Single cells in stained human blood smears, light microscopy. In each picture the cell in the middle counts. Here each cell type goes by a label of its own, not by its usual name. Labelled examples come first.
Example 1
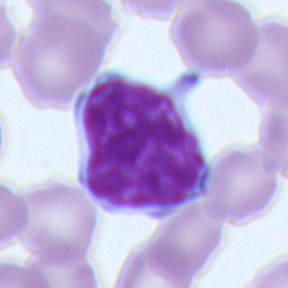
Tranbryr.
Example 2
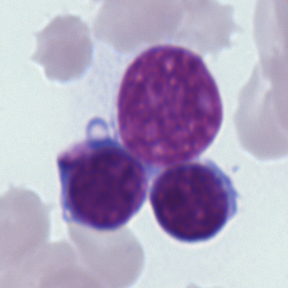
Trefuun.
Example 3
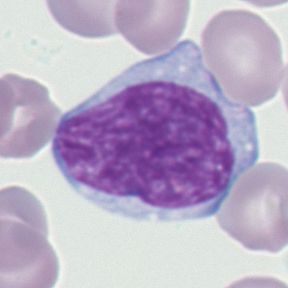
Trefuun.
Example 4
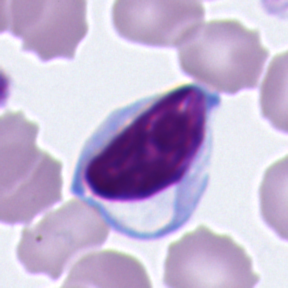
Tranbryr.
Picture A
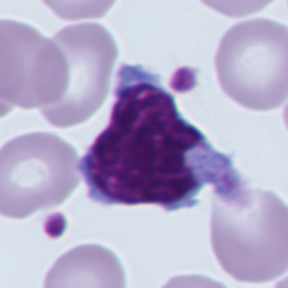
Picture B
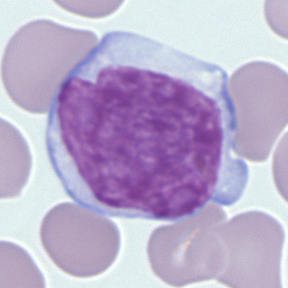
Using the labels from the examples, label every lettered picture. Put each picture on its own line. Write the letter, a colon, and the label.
A: Tranbryr.
B: Trefuun.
